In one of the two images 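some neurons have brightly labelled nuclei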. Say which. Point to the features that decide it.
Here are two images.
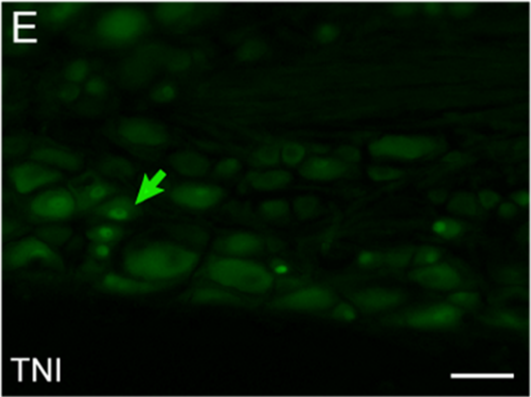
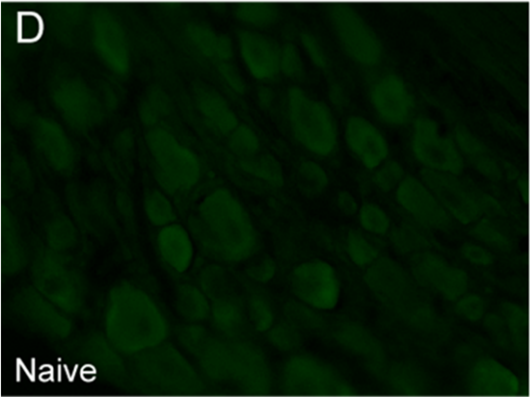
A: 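Second image: cell bodies are evenly dim green with no bright spots. First image: several small, round, bright green spots stand out within cell bodies. On this evidence: the first image.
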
